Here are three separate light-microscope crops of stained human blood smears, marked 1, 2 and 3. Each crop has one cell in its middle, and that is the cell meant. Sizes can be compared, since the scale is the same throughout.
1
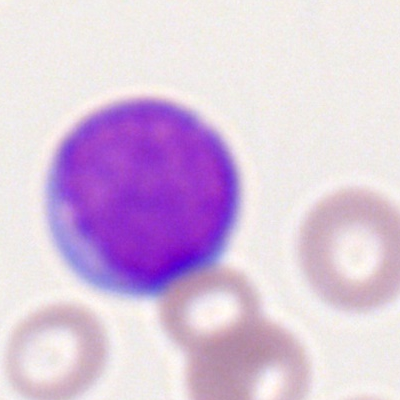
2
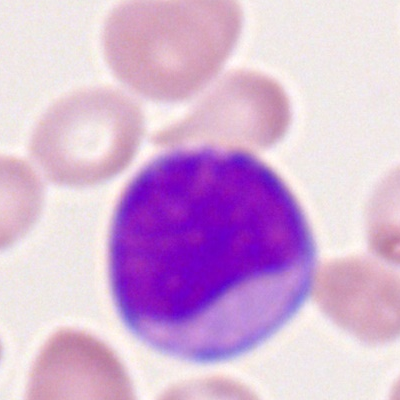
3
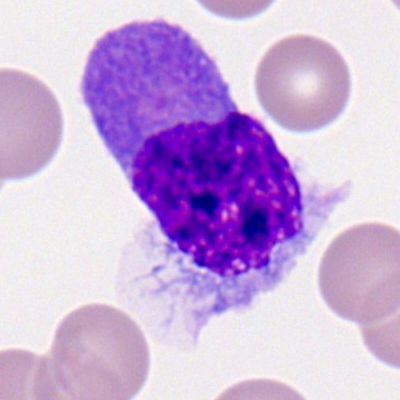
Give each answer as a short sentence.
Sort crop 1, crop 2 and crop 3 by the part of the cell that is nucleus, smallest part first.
They run 3, 2, 1, the least filled first.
